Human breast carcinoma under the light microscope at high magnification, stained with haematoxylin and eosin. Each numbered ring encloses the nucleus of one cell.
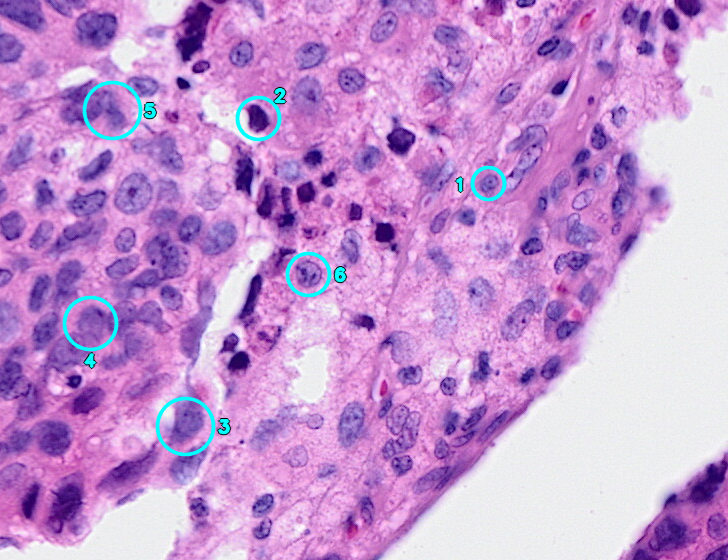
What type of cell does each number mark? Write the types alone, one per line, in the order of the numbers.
endothelial cell
carcinoma cell
carcinoma cell
carcinoma cell
carcinoma cell
macrophage, monocyte or dendritic cell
